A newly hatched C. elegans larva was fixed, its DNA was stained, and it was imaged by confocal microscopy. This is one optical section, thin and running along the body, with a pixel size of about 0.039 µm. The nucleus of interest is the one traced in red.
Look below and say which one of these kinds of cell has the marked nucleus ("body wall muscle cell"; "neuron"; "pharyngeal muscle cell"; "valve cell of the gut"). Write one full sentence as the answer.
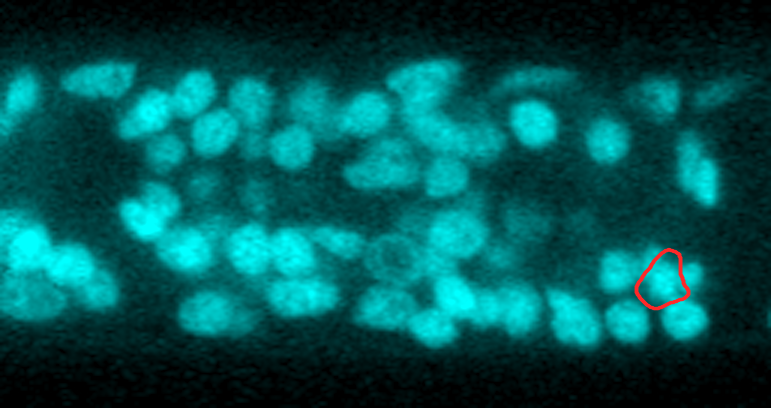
The marked nucleus is that of a valve cell of the gut.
